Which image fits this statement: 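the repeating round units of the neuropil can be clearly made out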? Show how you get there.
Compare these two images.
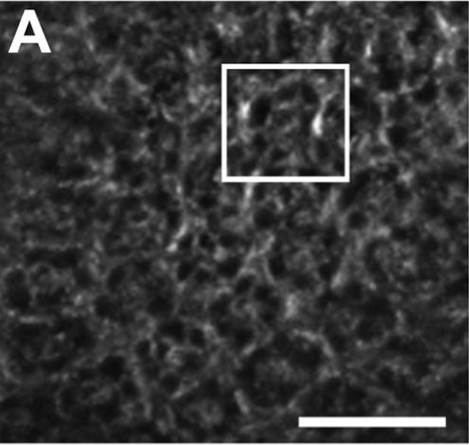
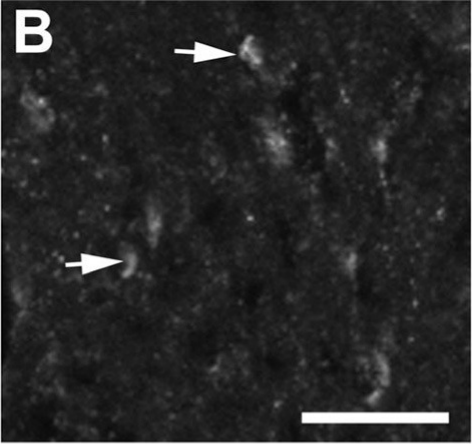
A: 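The first image. Second image: a dark field with scattered diffuse bright spots and no regular meshwork.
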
